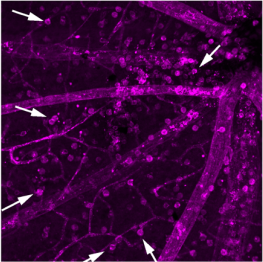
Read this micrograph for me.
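Magenta-outlined vessels of the retinal superficial plexus run across the field, large ones radiating from the upper right and a fine capillary net between them. Scattered among the vessels, separate from their walls, lie many small round magenta cells of roughly uniform size. Their rounded shape and position outside the vessel lines fit infiltrating immune cells that have entered the tissue.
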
